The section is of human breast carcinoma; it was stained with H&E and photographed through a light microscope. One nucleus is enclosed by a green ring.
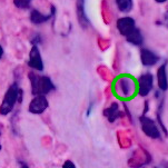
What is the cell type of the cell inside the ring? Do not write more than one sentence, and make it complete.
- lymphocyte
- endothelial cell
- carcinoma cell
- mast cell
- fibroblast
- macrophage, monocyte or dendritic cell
To be brief about it, the cell inside the ring is an endothelial cell.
